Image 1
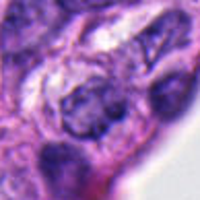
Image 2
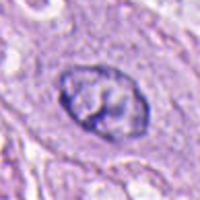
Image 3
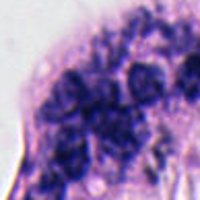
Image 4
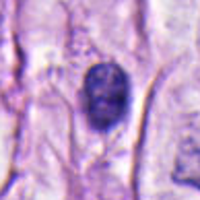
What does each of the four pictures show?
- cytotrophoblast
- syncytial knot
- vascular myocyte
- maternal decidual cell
1: cytotrophoblast
2: maternal decidual cell
3: syncytial knot
4: maternal decidual cell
